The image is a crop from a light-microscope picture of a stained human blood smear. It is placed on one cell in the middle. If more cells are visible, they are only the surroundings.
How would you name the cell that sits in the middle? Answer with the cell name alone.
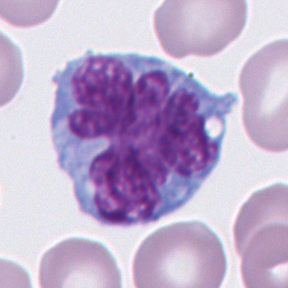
monocyte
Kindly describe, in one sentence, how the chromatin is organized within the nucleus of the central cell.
The chromatin pattern here is coarse and clumped.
